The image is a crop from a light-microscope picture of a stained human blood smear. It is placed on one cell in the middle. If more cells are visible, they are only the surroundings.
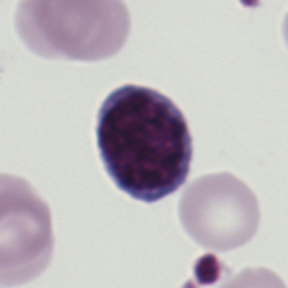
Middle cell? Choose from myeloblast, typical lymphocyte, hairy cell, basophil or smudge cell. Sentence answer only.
In this crop, the cell at the very middle is a typical lymphocyte.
